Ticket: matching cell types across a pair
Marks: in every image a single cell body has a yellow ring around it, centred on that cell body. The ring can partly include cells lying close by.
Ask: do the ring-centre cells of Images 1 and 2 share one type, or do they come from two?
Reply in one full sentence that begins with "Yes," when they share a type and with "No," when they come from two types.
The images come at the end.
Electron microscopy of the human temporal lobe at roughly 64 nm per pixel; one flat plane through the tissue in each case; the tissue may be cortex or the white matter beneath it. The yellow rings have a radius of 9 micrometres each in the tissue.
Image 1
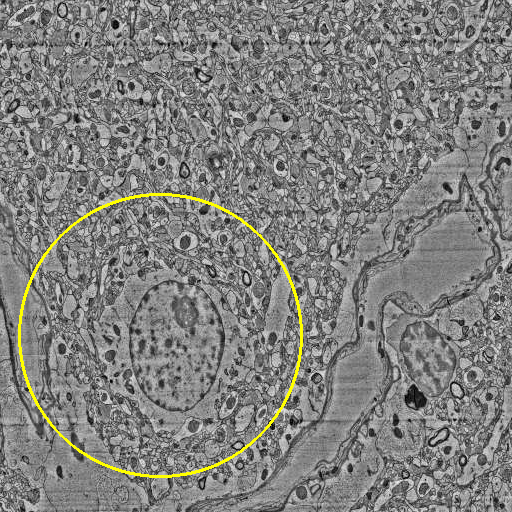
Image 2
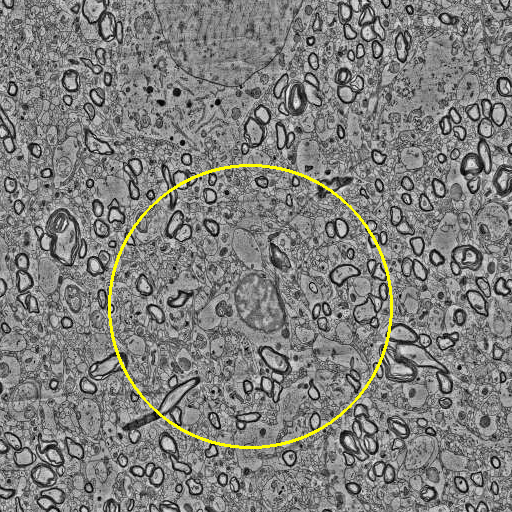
No, the cells in the centres of the rings in Image 1 and Image 2 come from two types.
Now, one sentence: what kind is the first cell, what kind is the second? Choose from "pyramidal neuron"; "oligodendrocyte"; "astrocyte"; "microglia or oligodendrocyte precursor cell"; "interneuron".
The first picture has an astrocyte at its ring centre, and the second has an oligodendrocyte.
